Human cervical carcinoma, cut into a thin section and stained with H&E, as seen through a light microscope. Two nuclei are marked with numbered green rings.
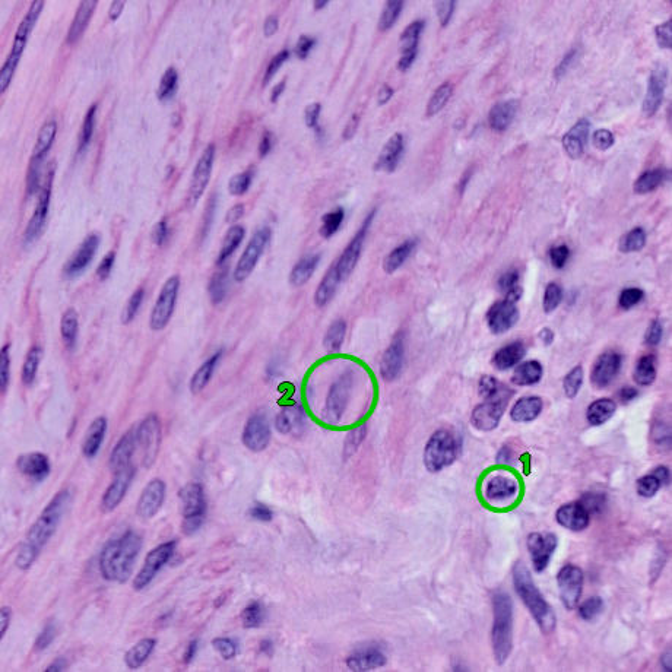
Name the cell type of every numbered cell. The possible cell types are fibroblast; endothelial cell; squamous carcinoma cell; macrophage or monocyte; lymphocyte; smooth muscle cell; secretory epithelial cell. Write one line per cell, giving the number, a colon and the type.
1: lymphocyte
2: smooth muscle cell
